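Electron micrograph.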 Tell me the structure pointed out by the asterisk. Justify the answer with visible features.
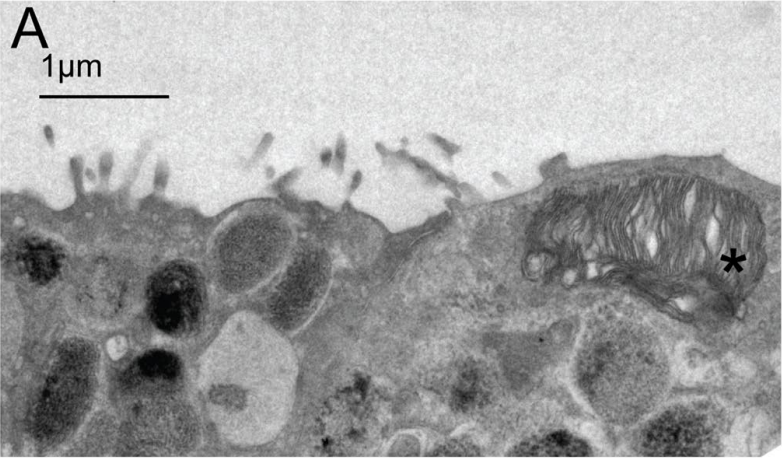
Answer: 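Photoreceptor outersegments. The asterisk lies on a body of tightly stacked parallel membrane lamellae. The body sits at the apical surface of the cell, beside fine projections.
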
